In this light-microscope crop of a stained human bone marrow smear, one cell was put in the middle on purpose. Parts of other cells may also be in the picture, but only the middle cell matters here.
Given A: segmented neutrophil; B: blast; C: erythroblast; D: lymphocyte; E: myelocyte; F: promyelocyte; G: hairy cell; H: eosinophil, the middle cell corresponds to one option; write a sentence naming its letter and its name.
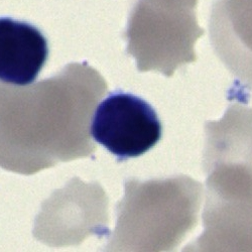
Given that the cell in the middle is a lymphocyte, option D is correct.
